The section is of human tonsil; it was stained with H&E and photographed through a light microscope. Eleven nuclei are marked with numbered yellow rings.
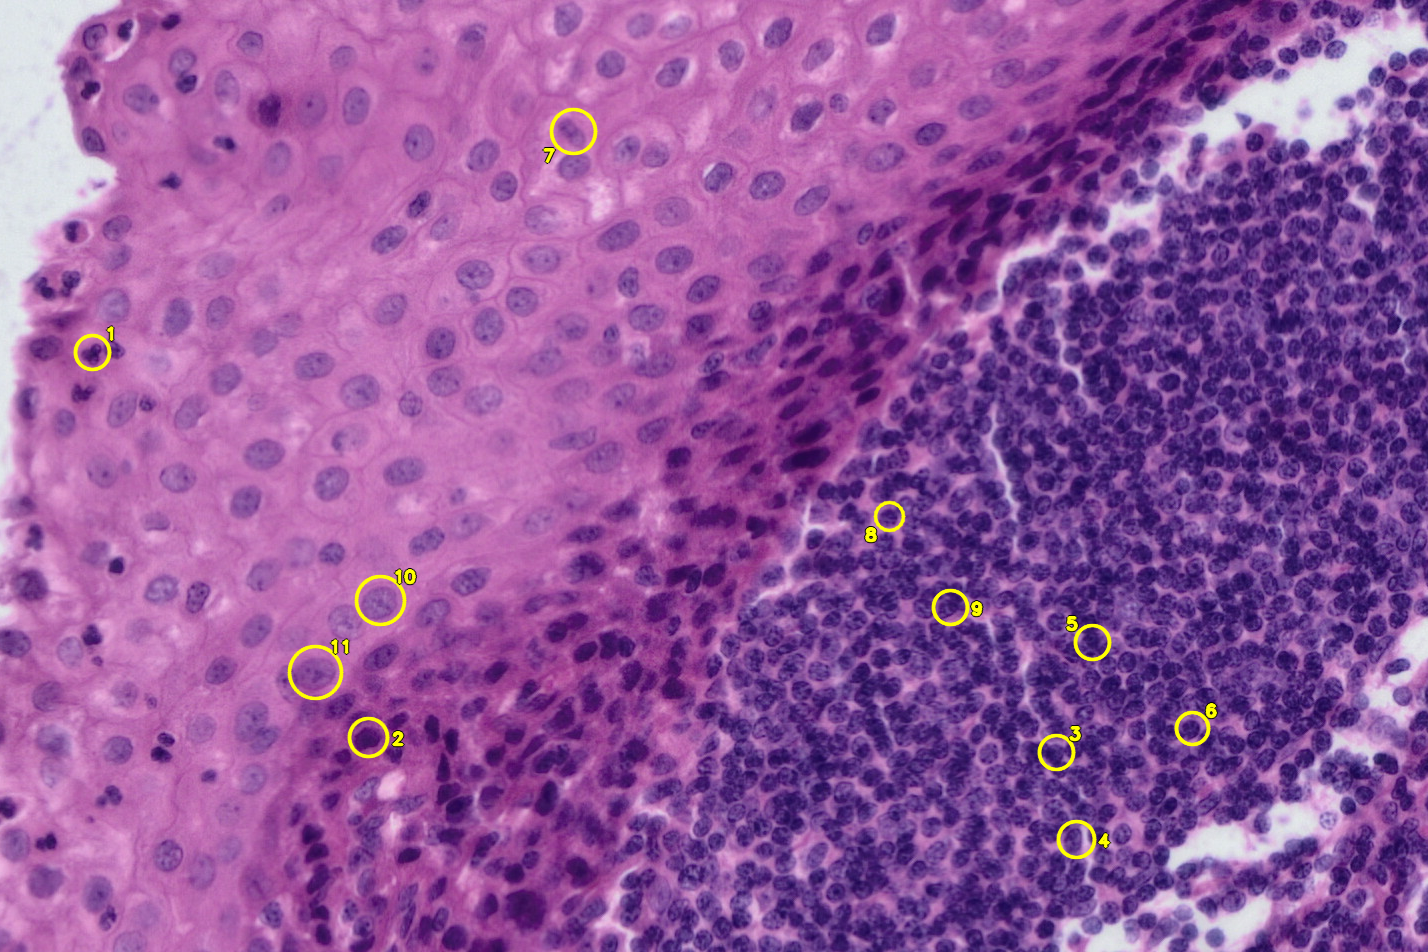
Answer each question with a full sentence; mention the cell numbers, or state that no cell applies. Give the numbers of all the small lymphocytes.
The cells picked out by numbers 3, 4, 5, 6, 8 and 9 are small lymphocytes.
